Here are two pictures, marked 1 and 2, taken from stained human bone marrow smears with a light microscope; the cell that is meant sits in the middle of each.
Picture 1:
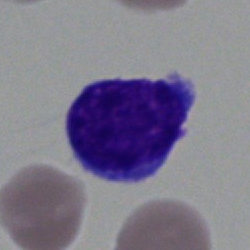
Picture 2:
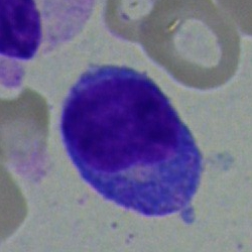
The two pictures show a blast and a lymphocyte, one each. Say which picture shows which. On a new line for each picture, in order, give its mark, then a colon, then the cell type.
1: lymphocyte
2: blast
